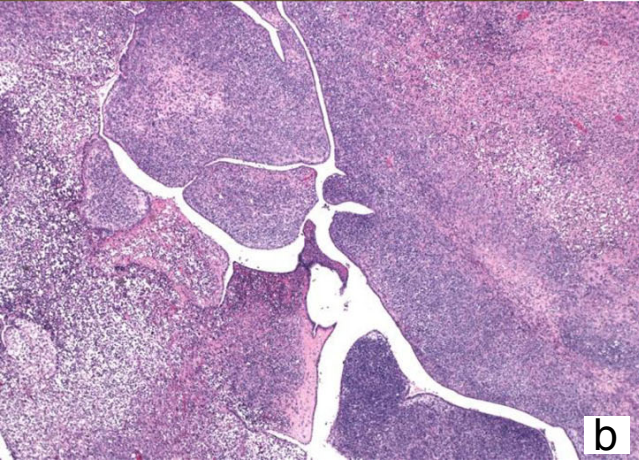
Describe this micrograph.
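At low magnification the tumor shows a leaf-like architecture, with branching slit-like clefts dividing cellular stroma into rounded, frond-like lobes. Darker purple, densely cellular areas alternate with paler, looser areas and pinker zones. The clefts are lined by a thin surface layer covering the stromal fronds.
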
